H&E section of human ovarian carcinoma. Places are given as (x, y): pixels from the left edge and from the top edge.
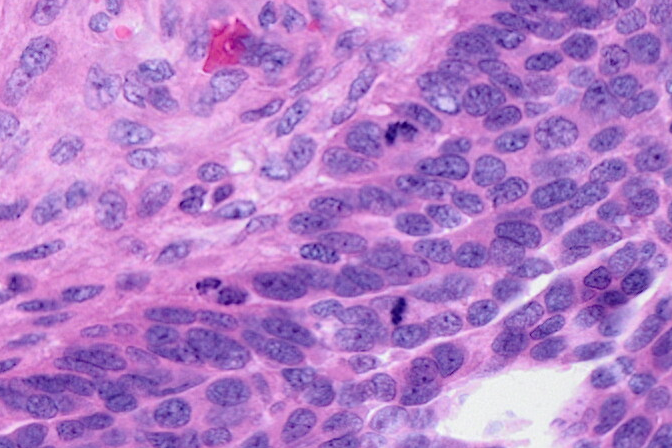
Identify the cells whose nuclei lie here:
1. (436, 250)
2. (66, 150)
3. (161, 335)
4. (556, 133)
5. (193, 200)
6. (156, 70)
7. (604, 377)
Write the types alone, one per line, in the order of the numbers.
carcinoma cell
fibroblast
carcinoma cell
carcinoma cell
macrophage or monocyte
fibroblast
carcinoma cell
